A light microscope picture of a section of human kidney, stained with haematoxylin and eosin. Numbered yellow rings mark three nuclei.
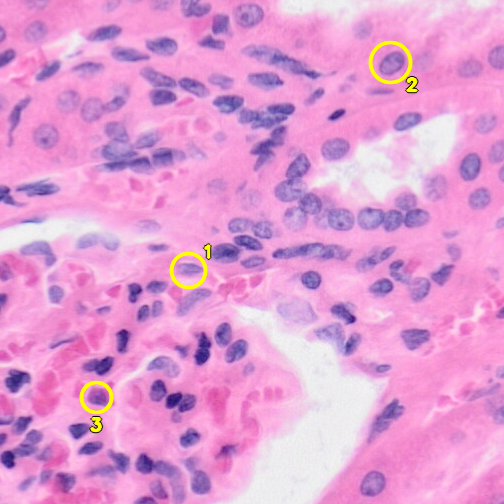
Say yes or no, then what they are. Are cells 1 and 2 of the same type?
No, that's wrong; cell 1 is an endothelial cell and cell 2 is a proximal tubule cell.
